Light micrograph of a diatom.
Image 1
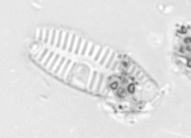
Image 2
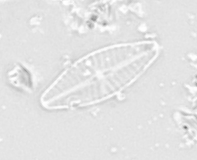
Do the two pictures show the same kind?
Yes, both are Planothidium.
